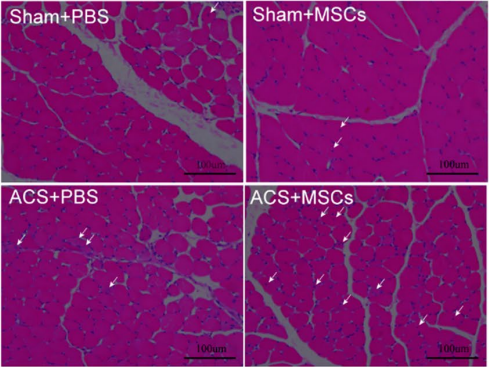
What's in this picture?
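The fibers are polygonal and packed together, and most of their nuclei lie at the edge of the fiber. Pale grey clefts run between groups of fibers.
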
